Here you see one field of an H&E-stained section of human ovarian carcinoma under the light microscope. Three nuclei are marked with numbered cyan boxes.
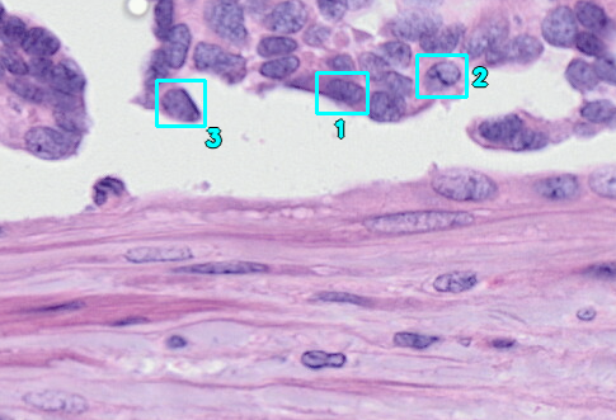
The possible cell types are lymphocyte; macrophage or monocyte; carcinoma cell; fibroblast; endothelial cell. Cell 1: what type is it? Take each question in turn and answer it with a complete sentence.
In this section, the cell tagged 1 is a carcinoma cell.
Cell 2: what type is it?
The cell pointed out as number 2 is a macrophage or monocyte.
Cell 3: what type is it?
To a carcinoma cell belongs the nucleus marked 3.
